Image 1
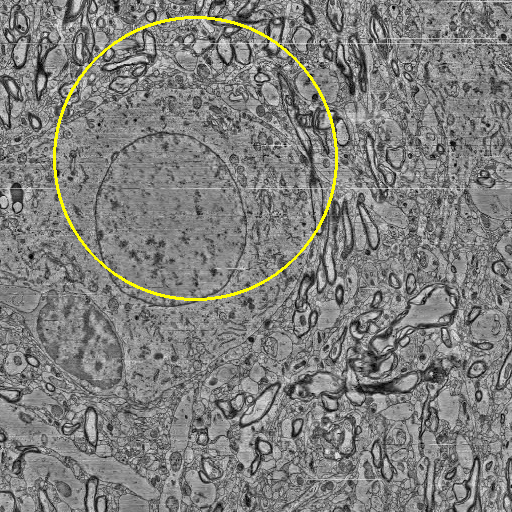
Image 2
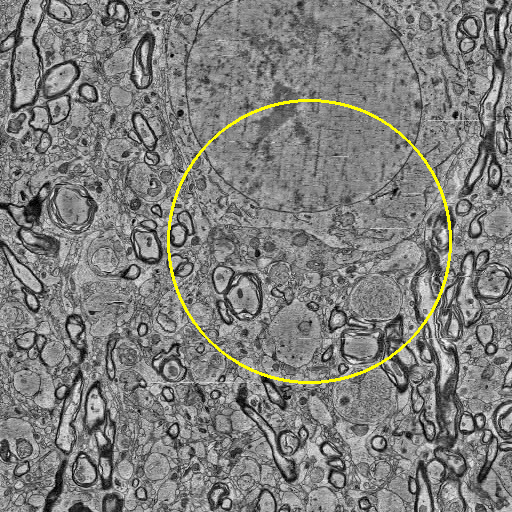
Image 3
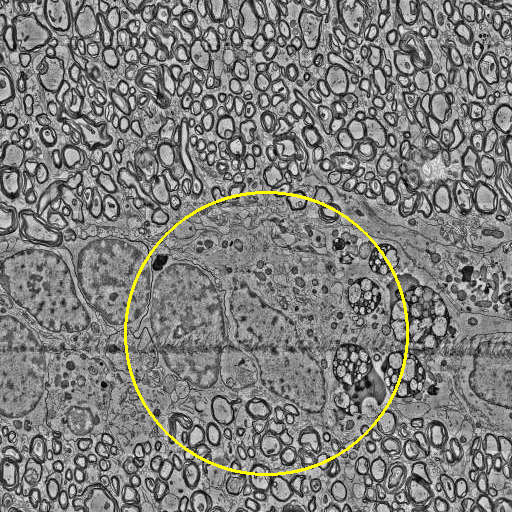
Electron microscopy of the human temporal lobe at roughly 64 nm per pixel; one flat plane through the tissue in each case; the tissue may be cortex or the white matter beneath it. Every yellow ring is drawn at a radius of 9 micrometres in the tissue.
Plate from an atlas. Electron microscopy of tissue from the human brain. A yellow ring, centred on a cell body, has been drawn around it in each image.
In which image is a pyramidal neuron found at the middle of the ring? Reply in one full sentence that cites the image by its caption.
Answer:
The requested cell is the one at the ring's centre in Image 1.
